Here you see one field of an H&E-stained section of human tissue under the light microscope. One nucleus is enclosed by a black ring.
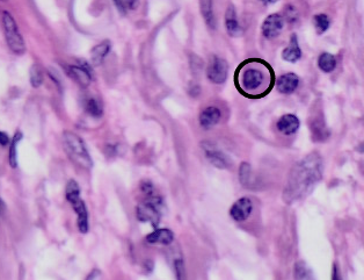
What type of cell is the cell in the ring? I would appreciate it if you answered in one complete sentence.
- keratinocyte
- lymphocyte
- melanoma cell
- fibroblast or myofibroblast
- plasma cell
On this particular slide, the cell in the ring is a plasma cell.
